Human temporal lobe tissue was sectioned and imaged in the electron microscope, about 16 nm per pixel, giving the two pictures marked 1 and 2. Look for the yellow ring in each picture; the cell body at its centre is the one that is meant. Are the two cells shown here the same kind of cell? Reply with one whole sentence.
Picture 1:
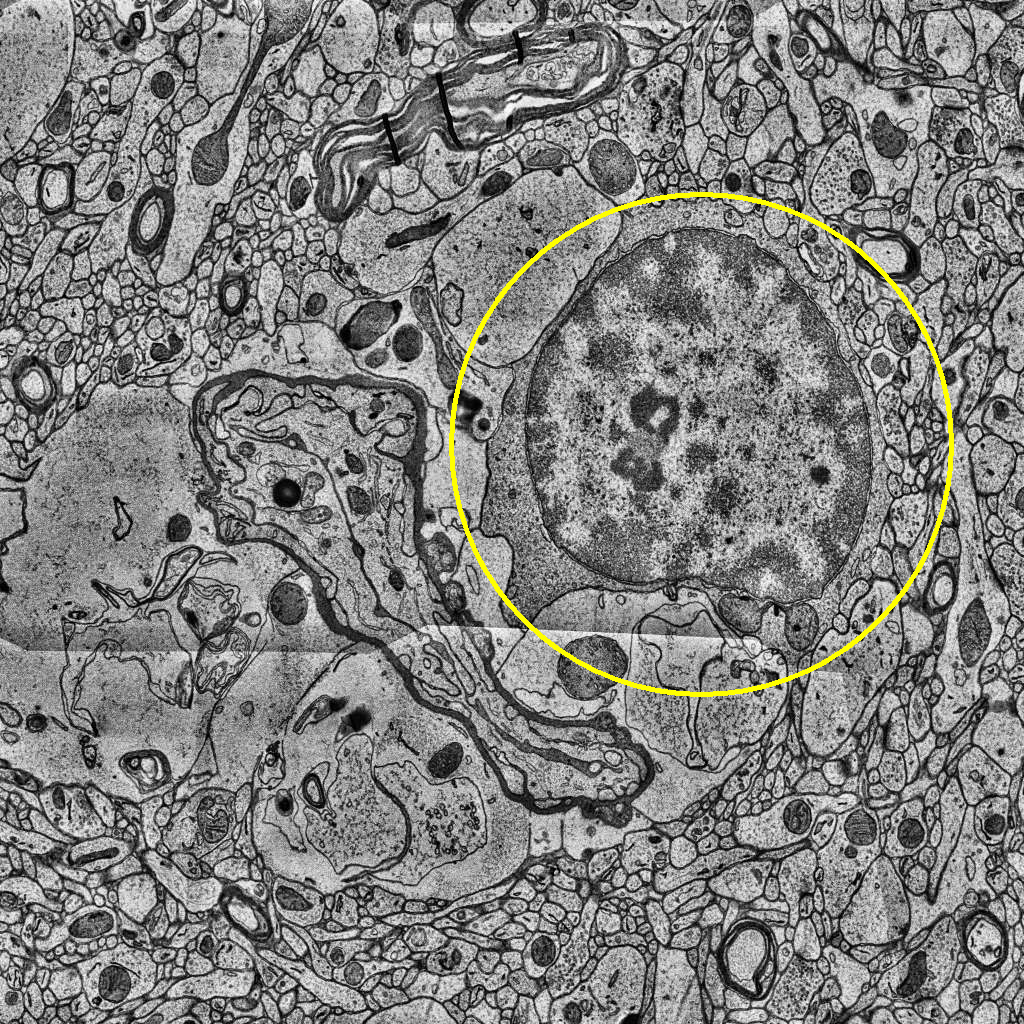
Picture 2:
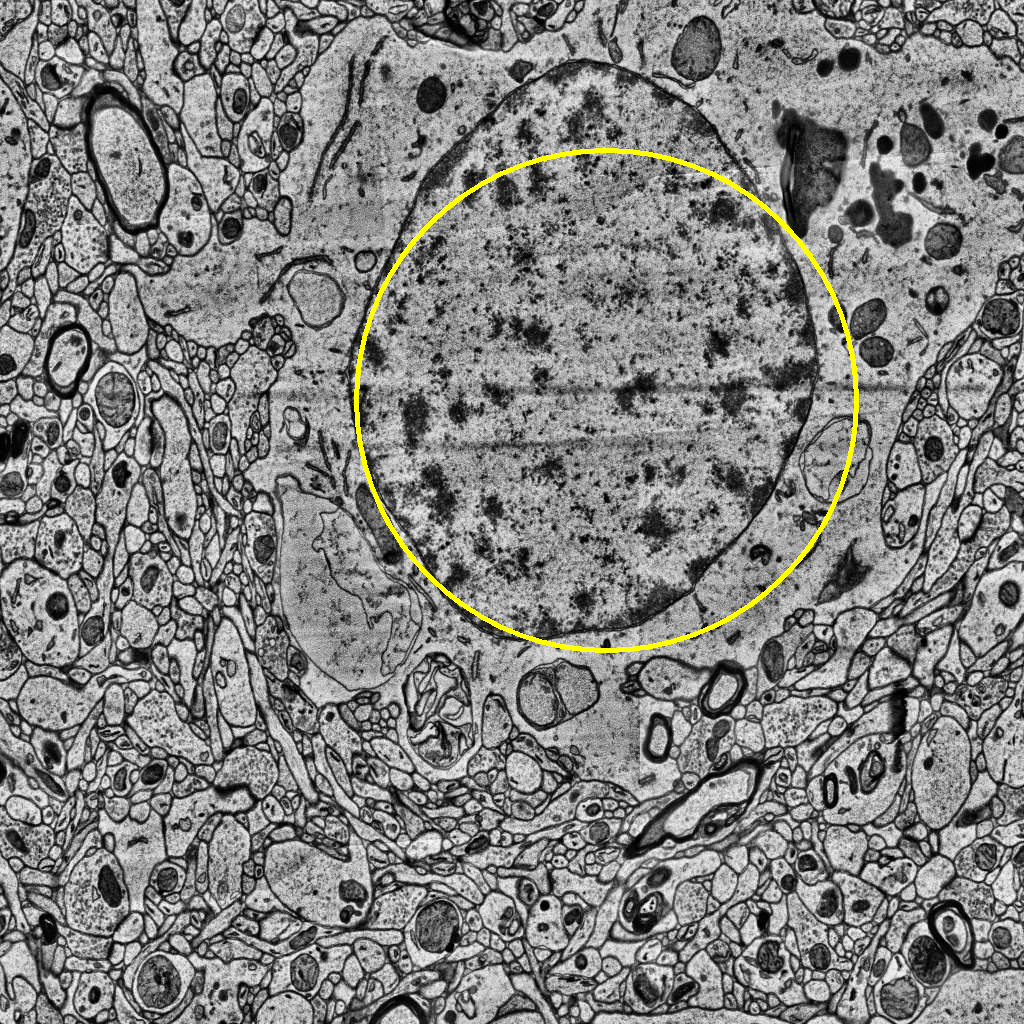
No, they differ: the cell is an oligodendrocyte in picture 1 and an astrocyte in picture 2.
